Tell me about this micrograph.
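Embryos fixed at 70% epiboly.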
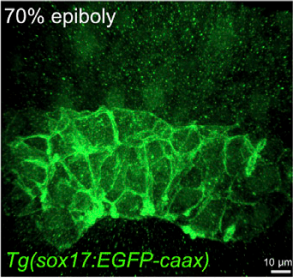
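A cluster of cells at the lower edge of the field is outlined by a bright green membrane label, showing polygonal cell borders packed side by side like a small epithelial sheet. The cluster forms a cap-shaped group, with fainter, diffuse green background in the region above it.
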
